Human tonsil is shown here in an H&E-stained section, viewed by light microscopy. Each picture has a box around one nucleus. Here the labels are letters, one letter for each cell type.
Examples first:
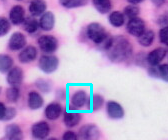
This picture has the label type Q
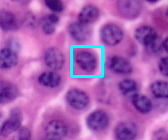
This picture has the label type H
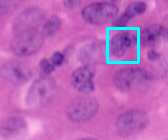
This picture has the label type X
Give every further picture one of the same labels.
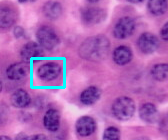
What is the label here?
type H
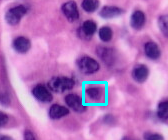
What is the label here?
type H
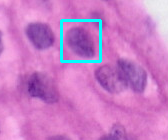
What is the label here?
type X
